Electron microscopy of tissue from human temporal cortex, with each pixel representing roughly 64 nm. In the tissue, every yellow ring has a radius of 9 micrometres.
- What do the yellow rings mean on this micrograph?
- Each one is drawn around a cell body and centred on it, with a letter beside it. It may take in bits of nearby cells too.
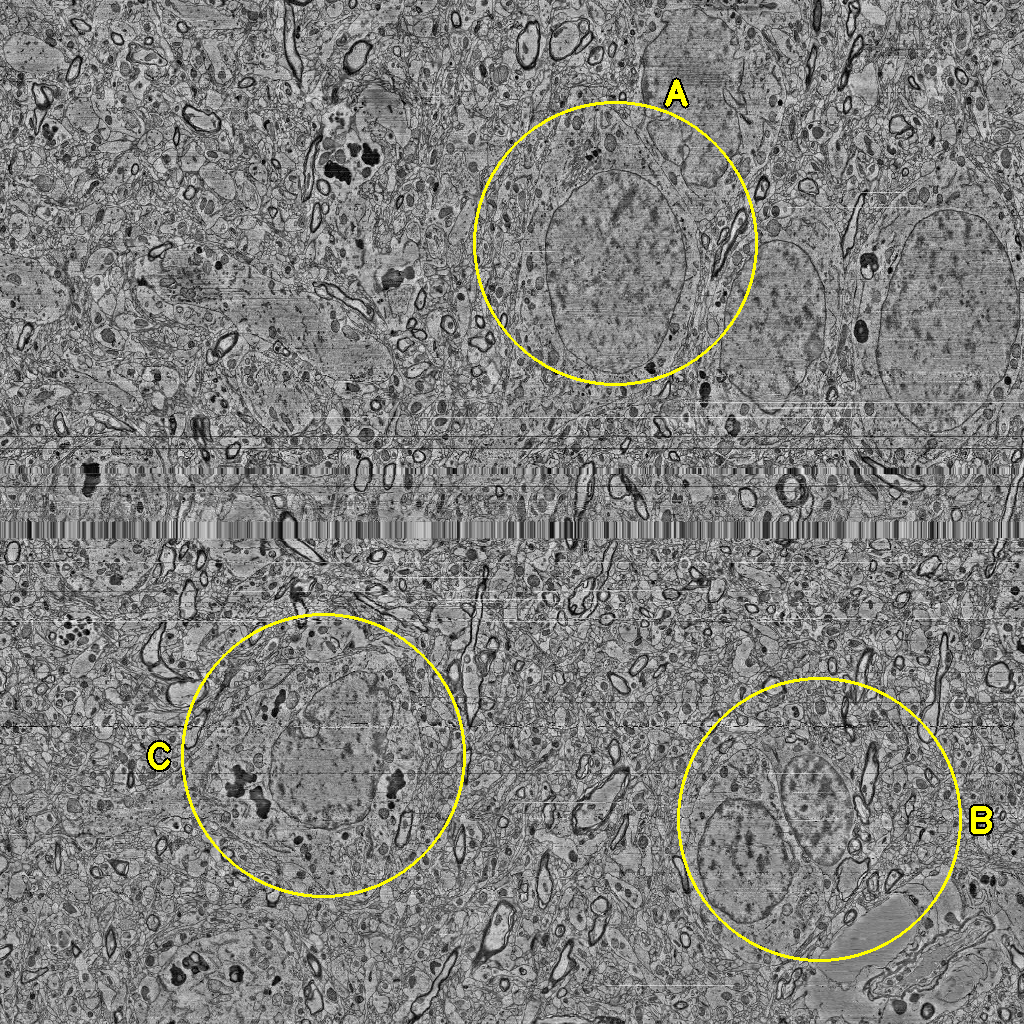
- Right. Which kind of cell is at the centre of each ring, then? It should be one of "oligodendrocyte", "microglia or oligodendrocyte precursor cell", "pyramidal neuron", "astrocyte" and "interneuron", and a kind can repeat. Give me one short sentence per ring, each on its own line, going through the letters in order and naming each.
Ring A circles the cell body of a pyramidal neuron.
Ring B circles the cell body of an oligodendrocyte.
Ring C circles the cell body of an interneuron.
